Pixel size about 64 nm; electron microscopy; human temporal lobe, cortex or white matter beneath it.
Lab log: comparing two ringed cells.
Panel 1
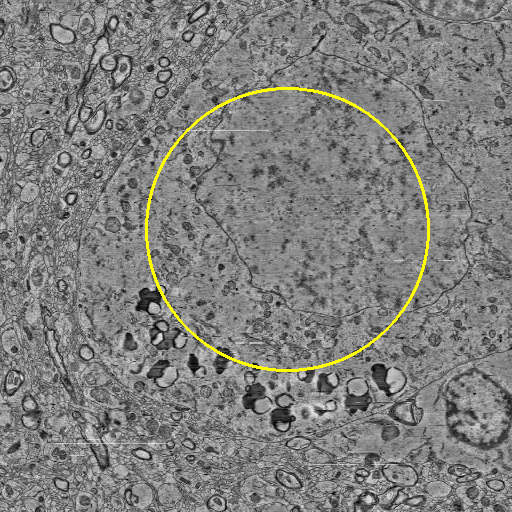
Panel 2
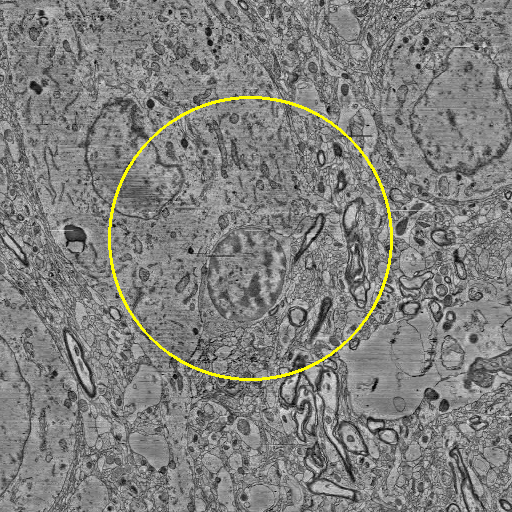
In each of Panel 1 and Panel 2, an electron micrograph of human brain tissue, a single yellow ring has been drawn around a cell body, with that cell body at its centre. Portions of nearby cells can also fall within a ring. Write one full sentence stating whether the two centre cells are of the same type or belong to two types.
The cells at the ring centres in Panel 1 and Panel 2 belong to two types.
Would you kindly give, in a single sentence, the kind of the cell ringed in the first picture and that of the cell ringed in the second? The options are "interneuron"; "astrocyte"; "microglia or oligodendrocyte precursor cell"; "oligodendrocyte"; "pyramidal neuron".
The second cell is an oligodendrocyte, and the first cell is a pyramidal neuron.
